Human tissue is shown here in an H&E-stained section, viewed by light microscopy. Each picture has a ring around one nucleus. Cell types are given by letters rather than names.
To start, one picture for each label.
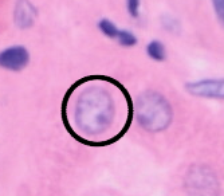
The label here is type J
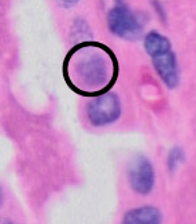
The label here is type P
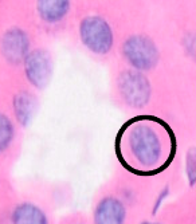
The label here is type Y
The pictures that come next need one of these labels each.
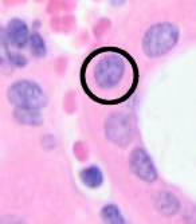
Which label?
type P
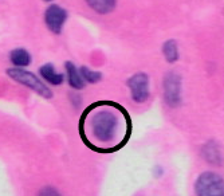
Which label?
type Y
